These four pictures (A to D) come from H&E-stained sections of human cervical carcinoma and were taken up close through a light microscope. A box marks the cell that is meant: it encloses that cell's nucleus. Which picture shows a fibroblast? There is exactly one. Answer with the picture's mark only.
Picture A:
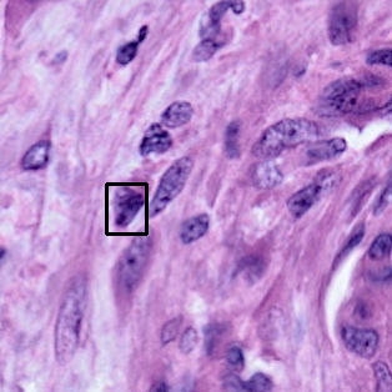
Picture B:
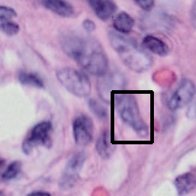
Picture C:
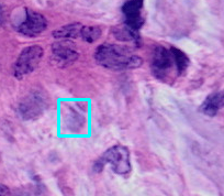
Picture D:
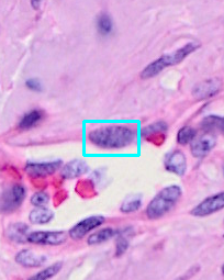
C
